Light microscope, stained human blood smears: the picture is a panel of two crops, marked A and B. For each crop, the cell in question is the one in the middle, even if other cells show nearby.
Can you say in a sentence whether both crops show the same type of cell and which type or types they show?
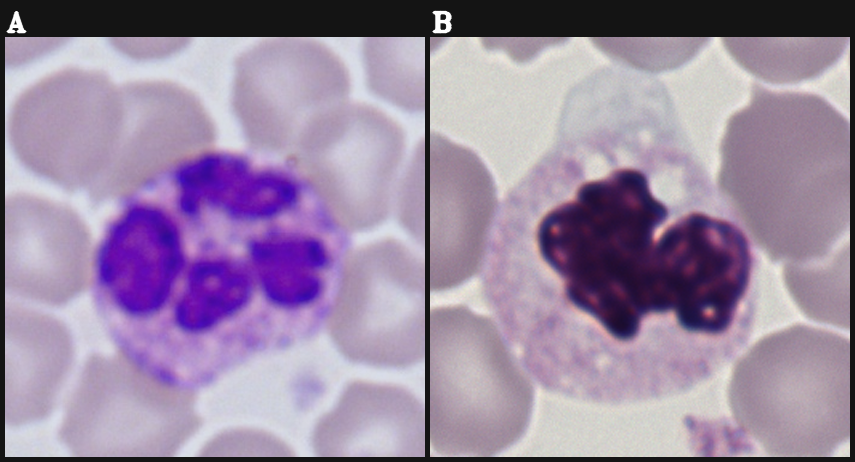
No, crop A is of a basophil, and crop B is of a segmented neutrophil.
